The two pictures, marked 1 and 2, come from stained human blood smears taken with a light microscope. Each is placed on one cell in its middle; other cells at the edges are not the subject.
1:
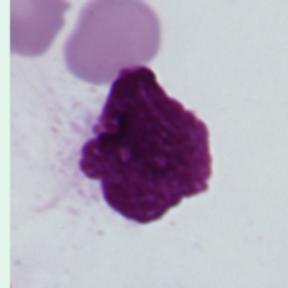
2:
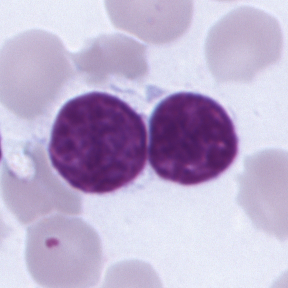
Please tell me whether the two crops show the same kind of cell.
no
